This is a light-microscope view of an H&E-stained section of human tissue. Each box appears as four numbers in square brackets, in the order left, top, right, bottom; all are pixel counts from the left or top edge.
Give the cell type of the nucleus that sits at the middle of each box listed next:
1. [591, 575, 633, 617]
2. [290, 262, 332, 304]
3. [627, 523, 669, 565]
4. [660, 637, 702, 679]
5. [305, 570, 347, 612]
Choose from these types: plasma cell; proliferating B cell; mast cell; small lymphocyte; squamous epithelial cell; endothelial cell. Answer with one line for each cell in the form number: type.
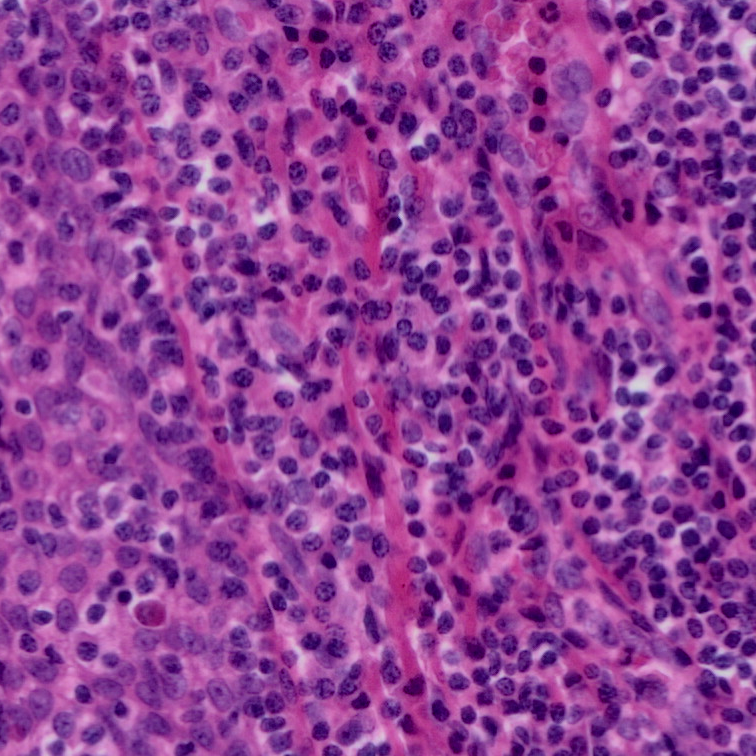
1: endothelial cell
2: plasma cell
3: small lymphocyte
4: endothelial cell
5: plasma cell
